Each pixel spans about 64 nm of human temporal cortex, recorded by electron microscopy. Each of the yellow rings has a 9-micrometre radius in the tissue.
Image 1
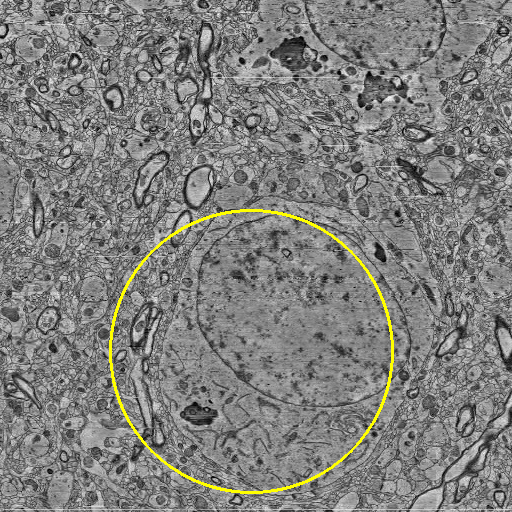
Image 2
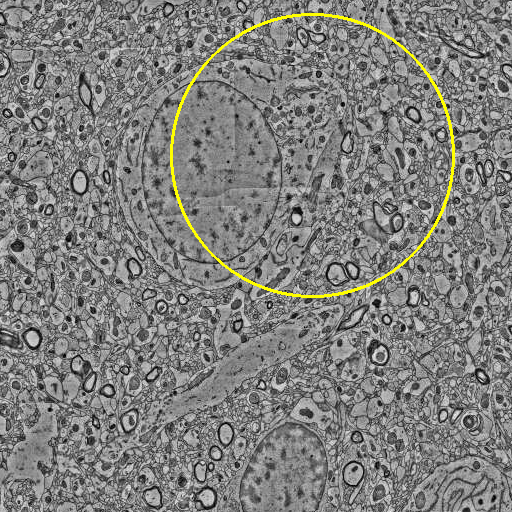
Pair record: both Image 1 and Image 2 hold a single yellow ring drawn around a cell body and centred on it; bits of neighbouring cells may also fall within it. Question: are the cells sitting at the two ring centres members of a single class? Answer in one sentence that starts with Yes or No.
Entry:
No, the ring-centre cells in Image 1 and Image 2 come from two classes.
